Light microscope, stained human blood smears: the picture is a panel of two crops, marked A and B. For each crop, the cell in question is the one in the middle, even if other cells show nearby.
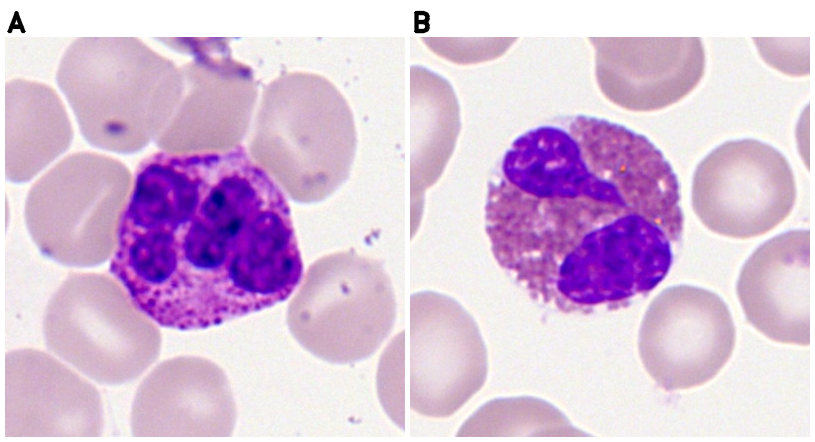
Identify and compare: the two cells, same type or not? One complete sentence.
No, mark crop A as a basophil and crop B as an eosinophil.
